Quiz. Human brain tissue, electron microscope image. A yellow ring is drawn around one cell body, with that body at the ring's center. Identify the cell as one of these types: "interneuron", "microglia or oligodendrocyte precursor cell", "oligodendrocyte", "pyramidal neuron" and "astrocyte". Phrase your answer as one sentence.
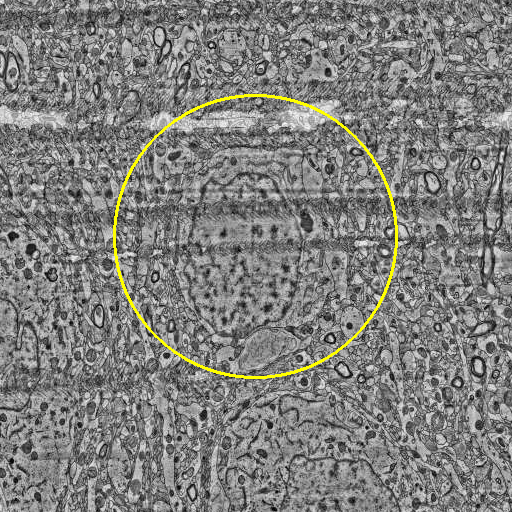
At the center of the ring sits an interneuron.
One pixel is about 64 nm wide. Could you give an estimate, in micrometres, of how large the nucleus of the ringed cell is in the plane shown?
The ringed cell's nucleus is about 10 micrometres long and 8 micrometres wide in this plane.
